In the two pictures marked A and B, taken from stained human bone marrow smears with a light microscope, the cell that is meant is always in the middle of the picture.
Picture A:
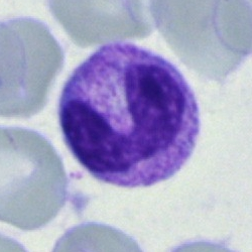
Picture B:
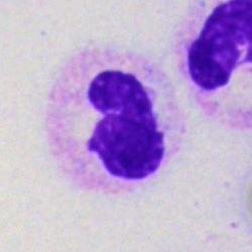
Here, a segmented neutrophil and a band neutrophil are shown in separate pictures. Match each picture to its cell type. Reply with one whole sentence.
Picture A shows a band neutrophil and picture B shows a segmented neutrophil.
